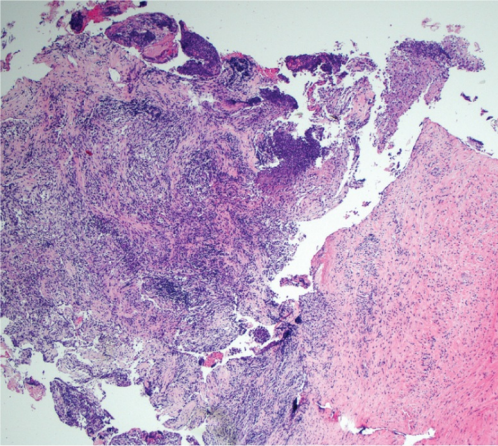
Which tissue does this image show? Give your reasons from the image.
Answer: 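Fibrous tissue. A large pink, dense, collagen-rich region with sparse elongated nuclei fills the right side. The left side is more cellular with densely packed nuclei among fibrous bands.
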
